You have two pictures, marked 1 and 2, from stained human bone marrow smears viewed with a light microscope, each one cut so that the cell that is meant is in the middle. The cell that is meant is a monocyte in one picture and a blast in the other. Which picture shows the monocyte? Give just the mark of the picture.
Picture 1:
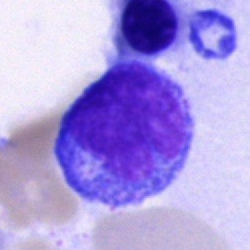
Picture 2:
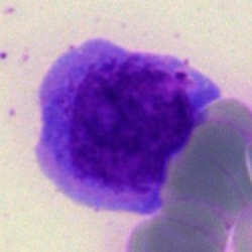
1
